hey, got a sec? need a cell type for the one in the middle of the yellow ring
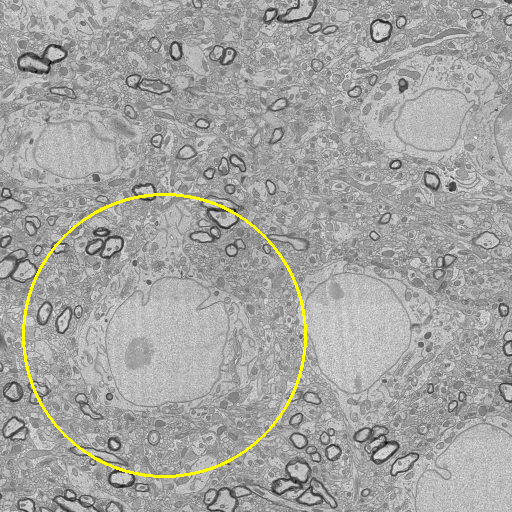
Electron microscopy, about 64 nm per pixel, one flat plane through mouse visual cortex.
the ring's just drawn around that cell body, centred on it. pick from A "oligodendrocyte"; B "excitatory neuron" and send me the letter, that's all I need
B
